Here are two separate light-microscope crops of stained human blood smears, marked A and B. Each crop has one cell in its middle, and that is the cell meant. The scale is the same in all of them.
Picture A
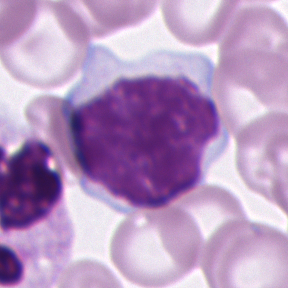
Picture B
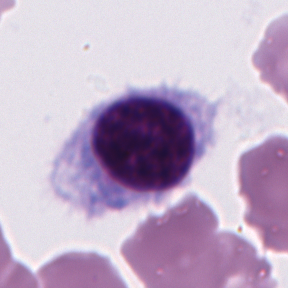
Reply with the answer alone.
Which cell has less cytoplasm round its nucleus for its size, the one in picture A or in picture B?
A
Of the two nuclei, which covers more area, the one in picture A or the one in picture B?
A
